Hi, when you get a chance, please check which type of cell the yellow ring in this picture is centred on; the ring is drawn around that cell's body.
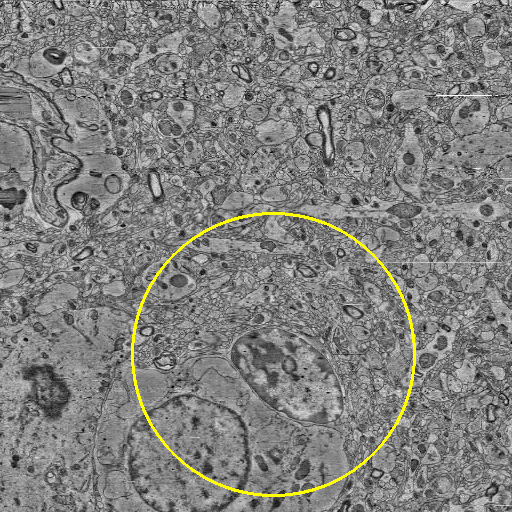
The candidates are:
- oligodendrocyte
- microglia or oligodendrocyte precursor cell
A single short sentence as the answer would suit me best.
The ring is drawn around the body of a microglial cell or oligodendrocyte precursor cell.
